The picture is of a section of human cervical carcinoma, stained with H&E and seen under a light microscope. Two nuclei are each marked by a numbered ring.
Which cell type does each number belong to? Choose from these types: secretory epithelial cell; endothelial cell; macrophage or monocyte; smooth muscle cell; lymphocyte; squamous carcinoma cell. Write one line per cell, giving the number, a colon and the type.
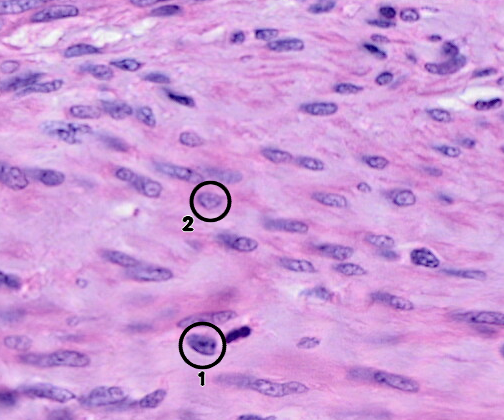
1: lymphocyte
2: smooth muscle cell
